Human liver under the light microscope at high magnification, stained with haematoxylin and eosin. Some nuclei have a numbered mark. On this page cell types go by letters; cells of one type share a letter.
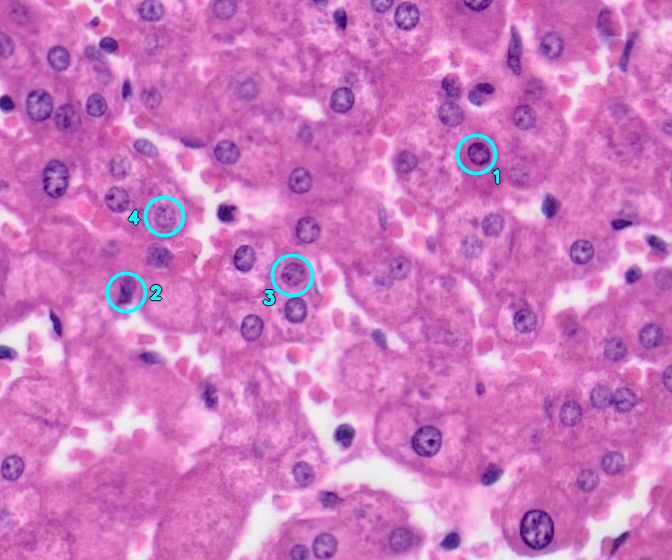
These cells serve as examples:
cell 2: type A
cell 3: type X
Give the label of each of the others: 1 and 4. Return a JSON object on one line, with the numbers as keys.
{"1": "type X", "4": "type X"}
